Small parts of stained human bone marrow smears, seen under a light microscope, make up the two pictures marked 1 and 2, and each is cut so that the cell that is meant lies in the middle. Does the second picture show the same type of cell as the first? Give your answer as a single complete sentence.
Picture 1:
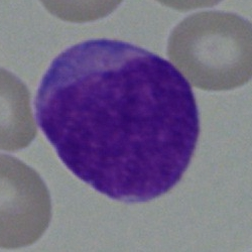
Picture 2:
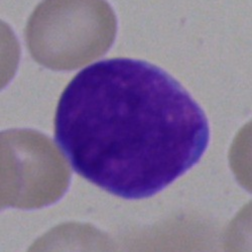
Yes, both are blasts.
